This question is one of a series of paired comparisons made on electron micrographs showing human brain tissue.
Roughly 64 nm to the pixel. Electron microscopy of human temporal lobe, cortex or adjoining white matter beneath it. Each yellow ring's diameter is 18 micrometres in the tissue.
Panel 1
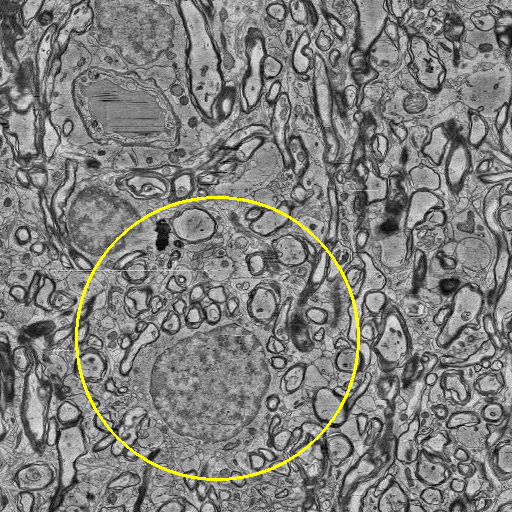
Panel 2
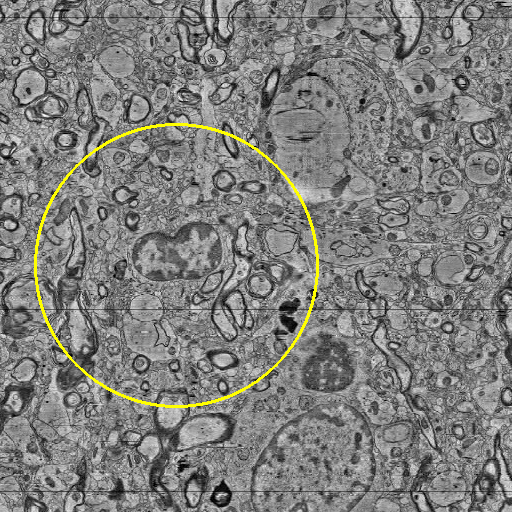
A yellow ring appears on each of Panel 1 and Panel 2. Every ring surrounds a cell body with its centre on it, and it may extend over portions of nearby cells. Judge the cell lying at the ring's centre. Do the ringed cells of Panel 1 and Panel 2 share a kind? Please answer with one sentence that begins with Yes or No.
No, the ring-centre cell in Panel 1 and the one in Panel 2 are of two kinds.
